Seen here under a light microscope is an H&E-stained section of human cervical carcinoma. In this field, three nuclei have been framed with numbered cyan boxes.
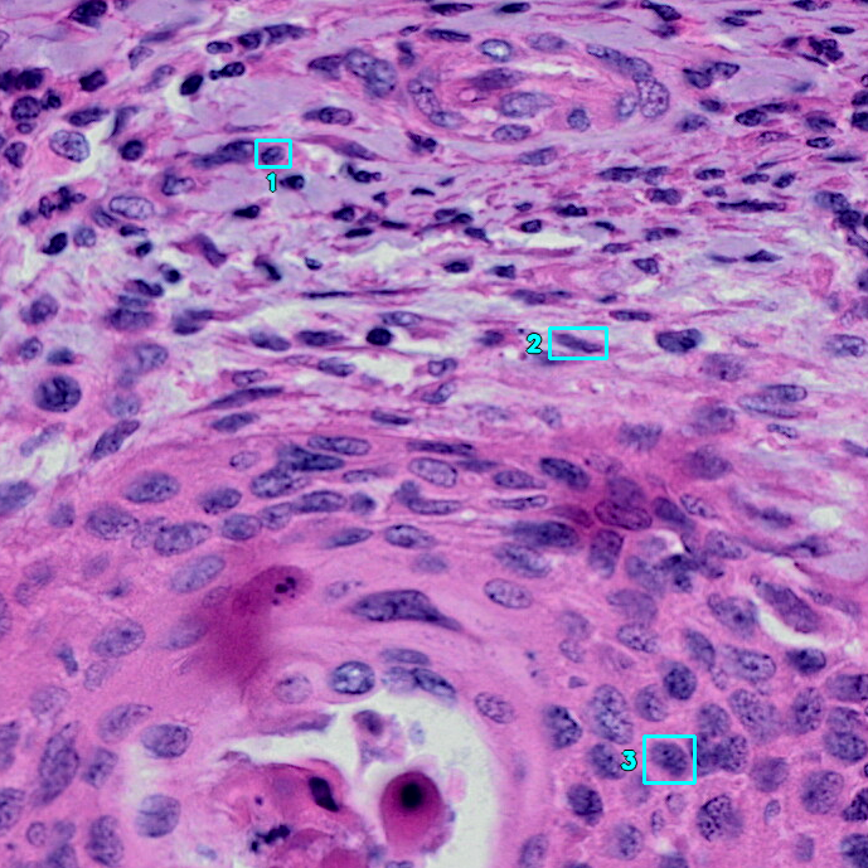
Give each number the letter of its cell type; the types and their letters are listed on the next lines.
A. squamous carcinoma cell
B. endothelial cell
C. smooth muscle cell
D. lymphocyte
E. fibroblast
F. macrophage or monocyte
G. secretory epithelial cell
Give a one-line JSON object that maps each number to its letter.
{"1": "B", "2": "E", "3": "A"}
